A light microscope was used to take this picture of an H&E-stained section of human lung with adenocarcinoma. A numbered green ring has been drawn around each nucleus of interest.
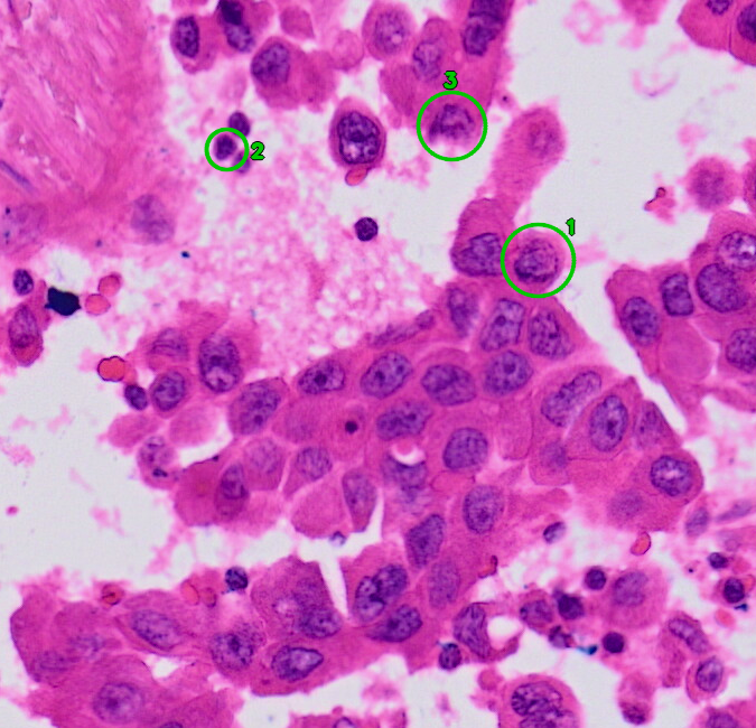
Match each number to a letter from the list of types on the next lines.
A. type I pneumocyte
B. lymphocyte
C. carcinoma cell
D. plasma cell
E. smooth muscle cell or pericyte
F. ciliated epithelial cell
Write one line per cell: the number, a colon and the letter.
1: C
2: B
3: C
